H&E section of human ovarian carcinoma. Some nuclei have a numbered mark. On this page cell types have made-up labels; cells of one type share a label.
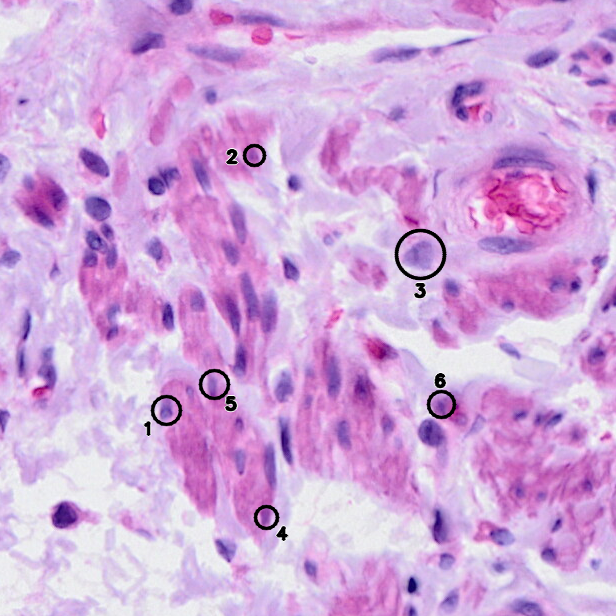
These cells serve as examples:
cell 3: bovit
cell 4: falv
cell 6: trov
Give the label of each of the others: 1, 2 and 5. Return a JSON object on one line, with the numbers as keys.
{"1": "falv", "2": "falv", "5": "falv"}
